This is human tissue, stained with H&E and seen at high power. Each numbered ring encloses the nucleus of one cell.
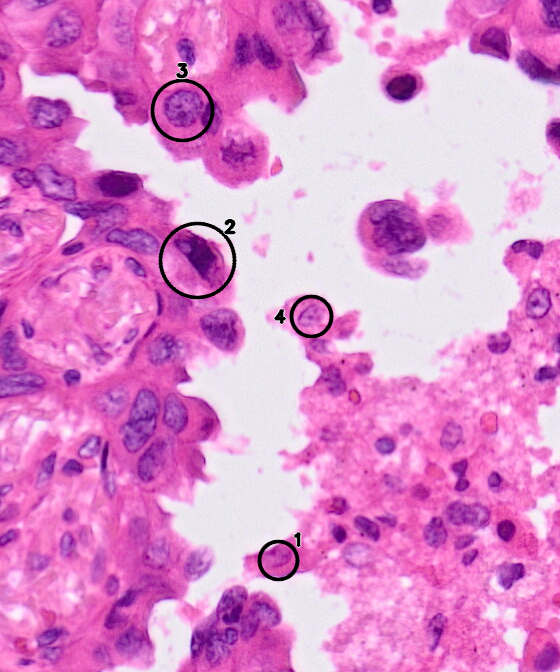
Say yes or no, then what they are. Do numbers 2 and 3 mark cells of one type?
Yes, both are carcinoma cells.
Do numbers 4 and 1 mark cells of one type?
Yes, both are macrophages or monocytes.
